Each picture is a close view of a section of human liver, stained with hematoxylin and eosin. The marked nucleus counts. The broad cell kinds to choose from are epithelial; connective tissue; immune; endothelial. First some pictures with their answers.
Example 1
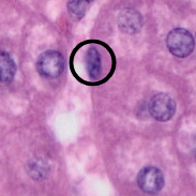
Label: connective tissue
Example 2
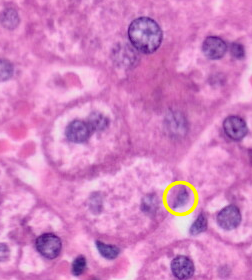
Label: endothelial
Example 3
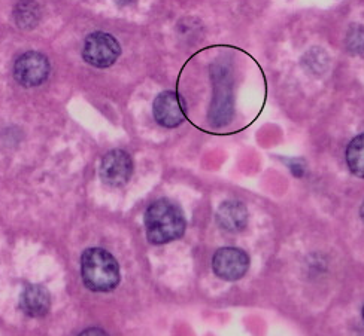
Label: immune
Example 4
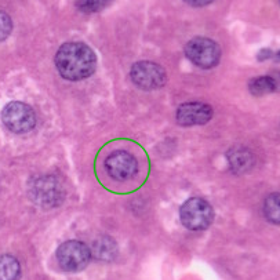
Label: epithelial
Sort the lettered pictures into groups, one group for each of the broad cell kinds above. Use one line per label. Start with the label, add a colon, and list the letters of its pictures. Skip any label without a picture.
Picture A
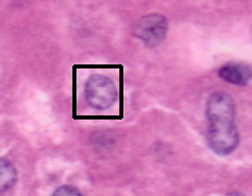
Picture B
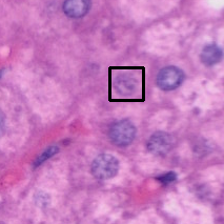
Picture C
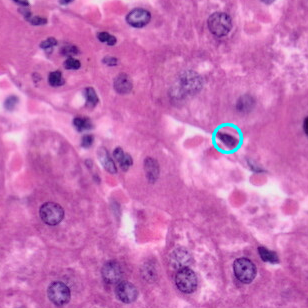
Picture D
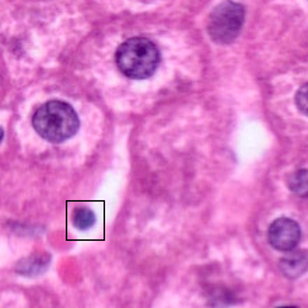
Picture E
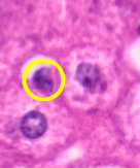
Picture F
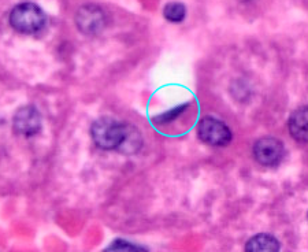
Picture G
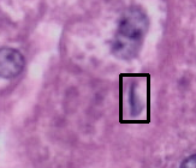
epithelial: A, B
connective tissue: C
immune: D
endothelial: E, F, G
